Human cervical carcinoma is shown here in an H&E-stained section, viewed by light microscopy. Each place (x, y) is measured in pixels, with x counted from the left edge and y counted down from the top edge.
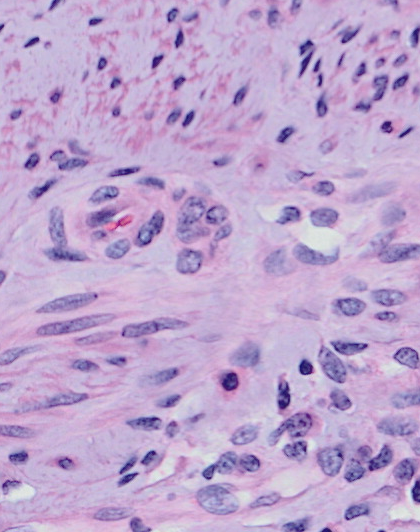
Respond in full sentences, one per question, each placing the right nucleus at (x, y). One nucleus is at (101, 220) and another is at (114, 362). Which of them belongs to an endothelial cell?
At (101, 220) lies the nucleus that belongs to an endothelial cell.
